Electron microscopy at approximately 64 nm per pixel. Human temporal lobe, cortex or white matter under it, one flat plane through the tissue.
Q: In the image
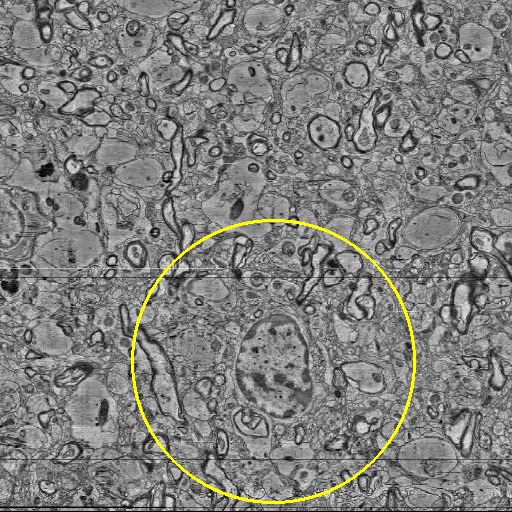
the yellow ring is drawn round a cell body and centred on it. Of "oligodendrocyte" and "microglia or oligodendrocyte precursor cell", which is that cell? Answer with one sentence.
The cell centred in the ring is a microglial cell or oligodendrocyte precursor cell.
